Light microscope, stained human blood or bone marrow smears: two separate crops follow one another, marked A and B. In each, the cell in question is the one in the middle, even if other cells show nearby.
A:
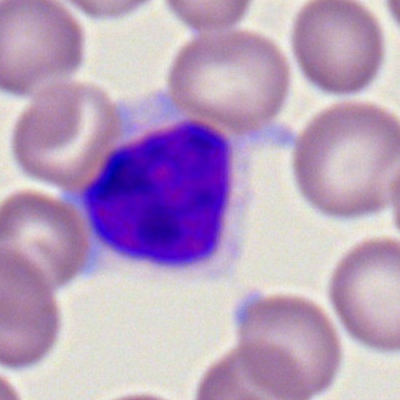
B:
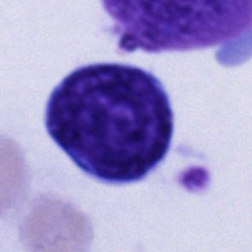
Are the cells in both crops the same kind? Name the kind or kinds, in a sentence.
No, crop A contains a lymphocyte, and crop B contains a blast.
